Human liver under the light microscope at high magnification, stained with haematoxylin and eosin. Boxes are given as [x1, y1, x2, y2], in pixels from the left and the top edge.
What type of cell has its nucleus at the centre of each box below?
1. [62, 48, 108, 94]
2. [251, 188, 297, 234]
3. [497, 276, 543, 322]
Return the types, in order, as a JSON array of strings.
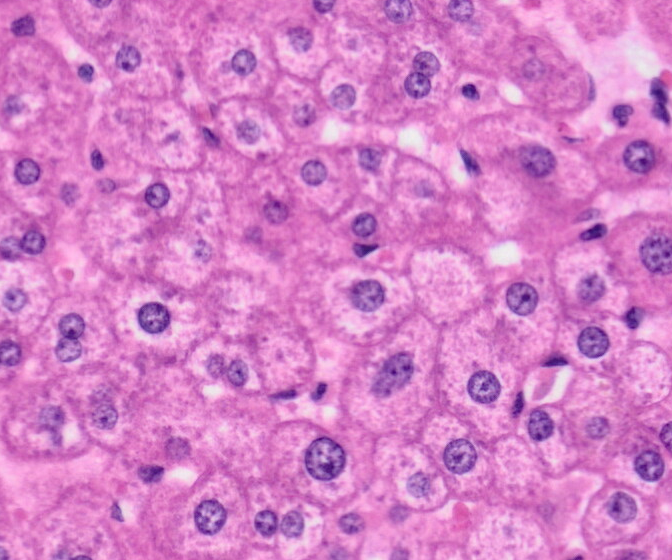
["lymphocyte", "hepatocyte", "hepatocyte"]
